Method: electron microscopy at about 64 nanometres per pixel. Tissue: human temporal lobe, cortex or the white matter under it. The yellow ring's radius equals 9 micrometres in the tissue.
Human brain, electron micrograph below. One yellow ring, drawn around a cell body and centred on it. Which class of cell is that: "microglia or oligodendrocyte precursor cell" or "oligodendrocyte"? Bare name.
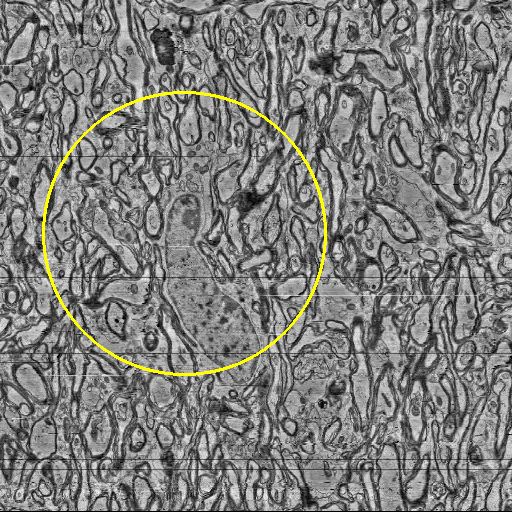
microglia or oligodendrocyte precursor cell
